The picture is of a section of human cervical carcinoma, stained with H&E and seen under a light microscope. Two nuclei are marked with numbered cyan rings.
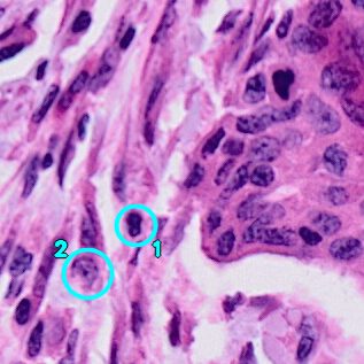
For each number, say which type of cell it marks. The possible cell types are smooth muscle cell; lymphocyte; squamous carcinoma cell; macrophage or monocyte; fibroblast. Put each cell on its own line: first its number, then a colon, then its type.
1: lymphocyte
2: macrophage or monocyte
